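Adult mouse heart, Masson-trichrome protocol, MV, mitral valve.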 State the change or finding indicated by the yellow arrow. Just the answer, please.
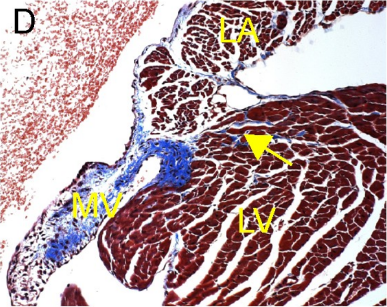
Myocardial continuity between the cardiomyocytes of the atria and the ventricle.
